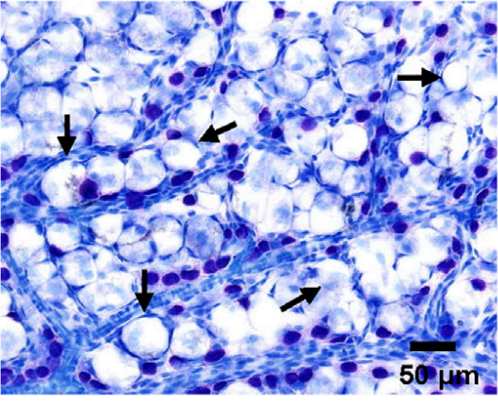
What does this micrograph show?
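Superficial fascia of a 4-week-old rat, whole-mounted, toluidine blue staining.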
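Between the clusters run long, diagonal bands of blue-stained tissue made up of elongated, spindle-shaped cells with narrow nuclei, which are blood vessels and their surrounding connective tissue. Small, dark purple round nuclei are scattered among the clear cells. The clusters of clear cells sit directly beside these bands rather than being spread evenly through the tissue.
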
